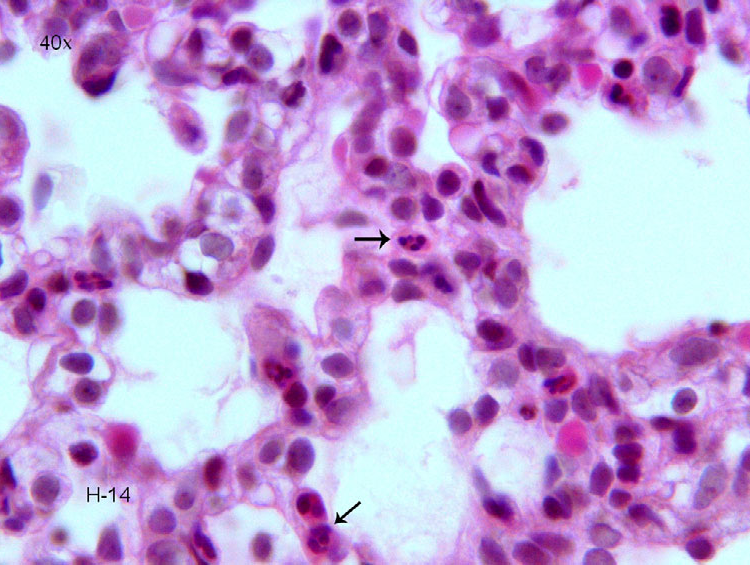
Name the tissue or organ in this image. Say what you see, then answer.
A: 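Interstitial wall. The walls form a branching network around the airspaces.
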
